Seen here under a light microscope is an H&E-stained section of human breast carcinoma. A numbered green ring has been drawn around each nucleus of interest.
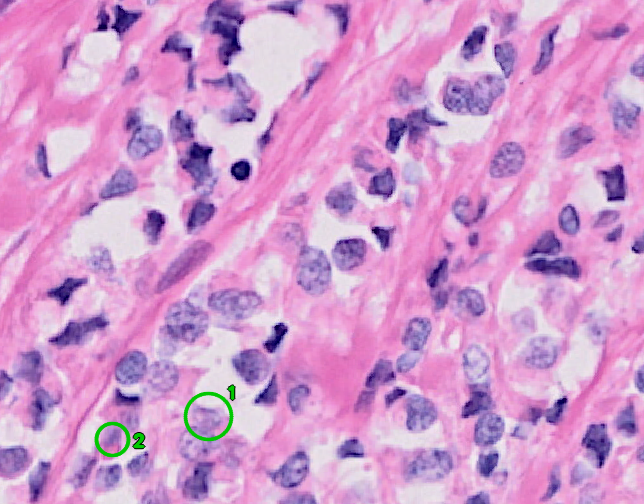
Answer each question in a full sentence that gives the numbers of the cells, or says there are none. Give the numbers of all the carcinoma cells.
Among the numbered cells, the one that is a carcinoma cell is cell 1 alone.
